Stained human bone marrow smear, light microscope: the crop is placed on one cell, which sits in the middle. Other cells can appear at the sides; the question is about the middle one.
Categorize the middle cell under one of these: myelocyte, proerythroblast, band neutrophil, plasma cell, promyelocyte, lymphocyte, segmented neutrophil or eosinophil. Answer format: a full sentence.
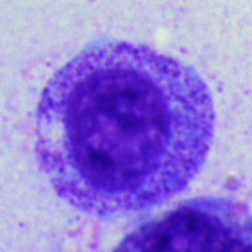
The cell found in the middle of this crop is a promyelocyte.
